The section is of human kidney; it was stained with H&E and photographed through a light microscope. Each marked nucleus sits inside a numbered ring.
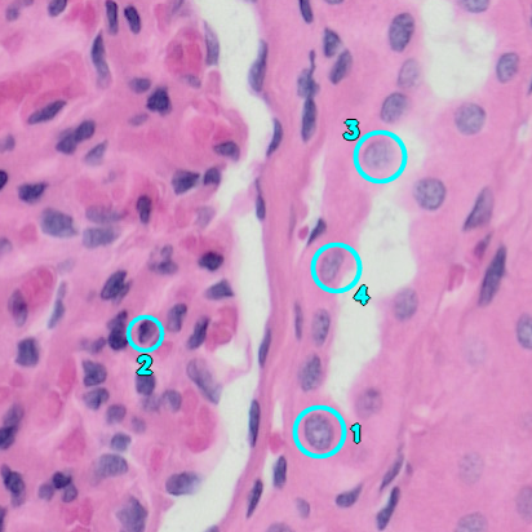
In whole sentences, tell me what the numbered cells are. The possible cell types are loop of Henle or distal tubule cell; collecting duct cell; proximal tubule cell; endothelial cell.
Cells 1, 3 and 4 are loop of Henle or distal tubule cells. Cell 2 is an endothelial cell.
